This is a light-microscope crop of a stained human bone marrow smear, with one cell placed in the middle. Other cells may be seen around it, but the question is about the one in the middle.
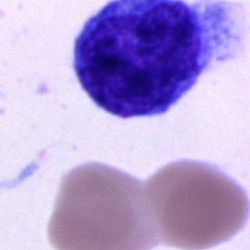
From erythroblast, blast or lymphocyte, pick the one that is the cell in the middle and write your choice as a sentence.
Occupying the centre of the crop is a blast.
